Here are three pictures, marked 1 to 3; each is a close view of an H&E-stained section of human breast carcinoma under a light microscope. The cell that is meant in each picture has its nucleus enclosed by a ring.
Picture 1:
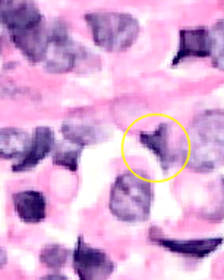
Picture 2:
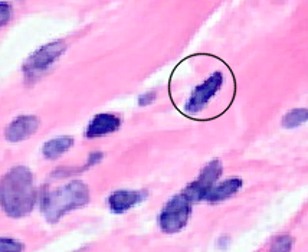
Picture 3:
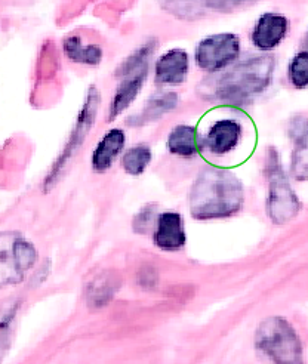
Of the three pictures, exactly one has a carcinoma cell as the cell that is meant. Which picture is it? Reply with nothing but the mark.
1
